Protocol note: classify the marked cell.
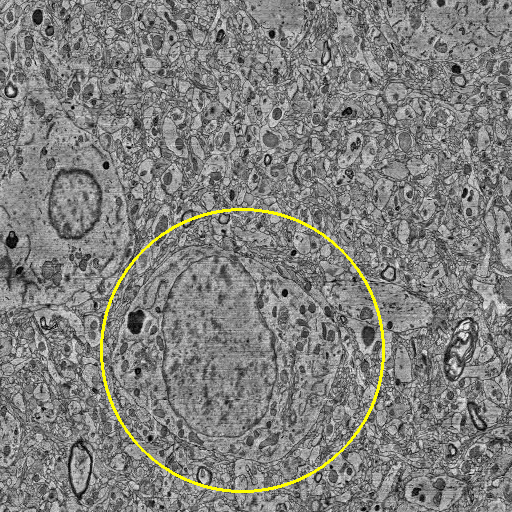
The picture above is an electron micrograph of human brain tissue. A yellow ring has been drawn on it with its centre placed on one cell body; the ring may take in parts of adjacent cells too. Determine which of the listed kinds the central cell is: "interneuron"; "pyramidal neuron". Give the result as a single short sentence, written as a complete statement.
The central cell is an interneuron.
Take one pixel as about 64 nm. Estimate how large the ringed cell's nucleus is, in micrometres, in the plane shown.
Roughly 12 micrometres long and 7 micrometres wide; in this plane the nucleus is clearly longer than it is wide.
